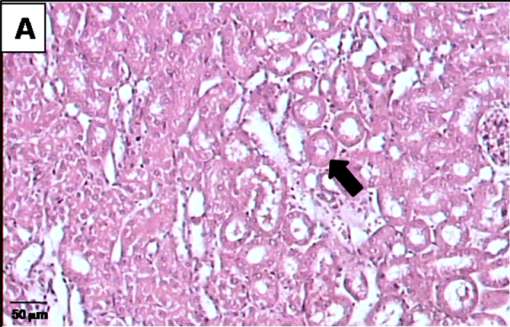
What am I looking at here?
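Kidney cortex with closely packed renal tubules cut in cross and oblique section, lined by pink cuboidal epithelial cells with round central nuclei around small lumens. A glomerulus lies at the edge, and the tubules are separated by narrow interstitial spaces.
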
